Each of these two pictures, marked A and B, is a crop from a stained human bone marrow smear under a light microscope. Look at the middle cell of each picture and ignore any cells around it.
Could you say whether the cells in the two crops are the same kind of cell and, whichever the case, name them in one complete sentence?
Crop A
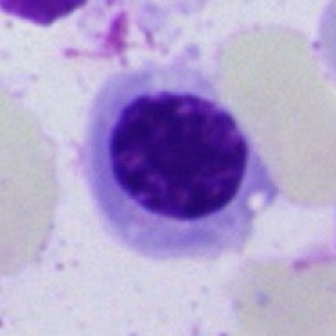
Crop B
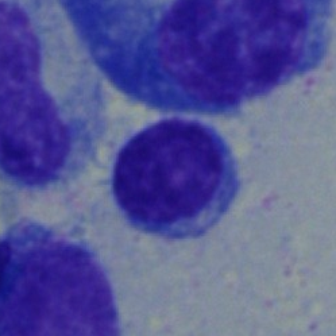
No, crop A is the one with a normoblast; crop B has a lymphocyte.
